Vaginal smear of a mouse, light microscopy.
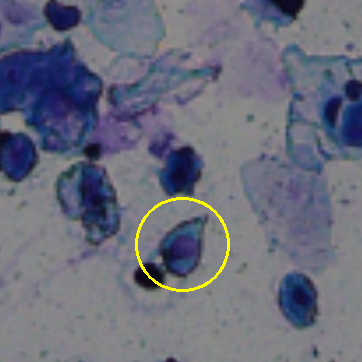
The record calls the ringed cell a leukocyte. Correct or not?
Not correct; it is a nucleated epithelial cell.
